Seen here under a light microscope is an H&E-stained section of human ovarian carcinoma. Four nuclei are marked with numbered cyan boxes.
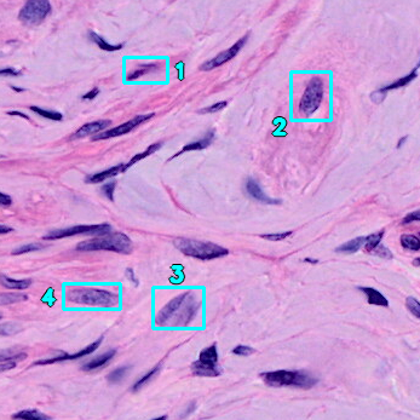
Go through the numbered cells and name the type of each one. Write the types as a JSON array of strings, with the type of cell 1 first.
["smooth muscle cell", "endothelial cell", "fibroblast", "smooth muscle cell"]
